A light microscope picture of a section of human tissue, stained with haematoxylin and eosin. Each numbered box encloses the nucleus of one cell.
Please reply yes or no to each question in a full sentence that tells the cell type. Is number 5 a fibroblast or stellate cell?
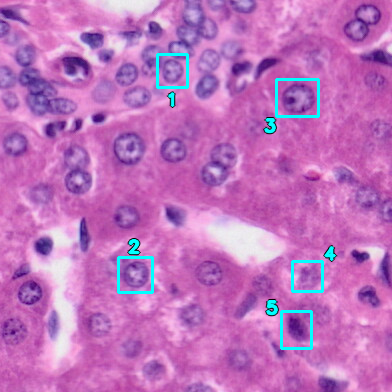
Yes, the cell bearing the number 5 is a fibroblast or stellate cell.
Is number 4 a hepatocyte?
Yes, the cell with the mark numbered 4 is a hepatocyte.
